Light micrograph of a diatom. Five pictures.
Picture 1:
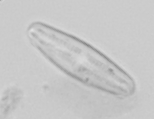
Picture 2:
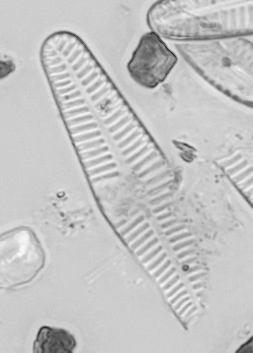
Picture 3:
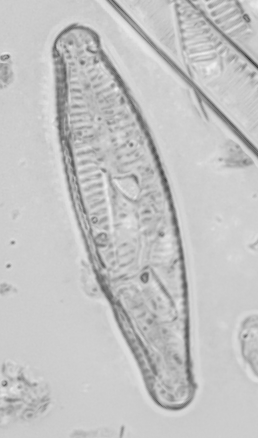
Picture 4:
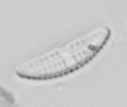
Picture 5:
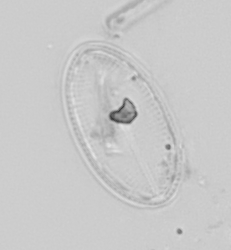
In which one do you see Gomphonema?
In picture 3.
